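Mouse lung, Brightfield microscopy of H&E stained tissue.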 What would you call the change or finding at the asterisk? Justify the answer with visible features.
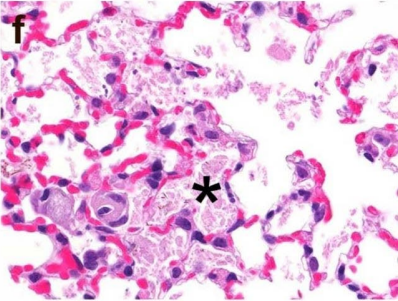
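Pulmonary alveolar proteinosis. Alveolar spaces are filled with pale pink, amorphous material. Large pale cells lie within the filled airspaces.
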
